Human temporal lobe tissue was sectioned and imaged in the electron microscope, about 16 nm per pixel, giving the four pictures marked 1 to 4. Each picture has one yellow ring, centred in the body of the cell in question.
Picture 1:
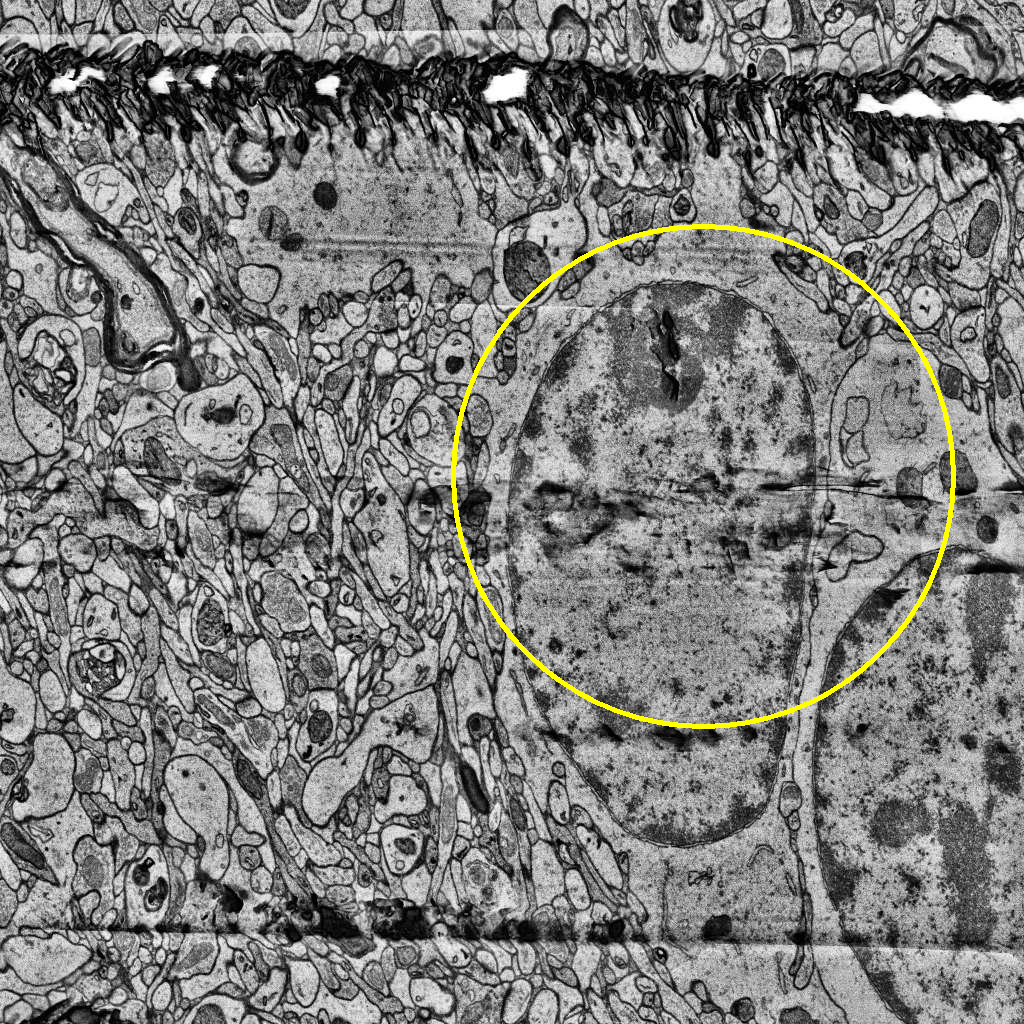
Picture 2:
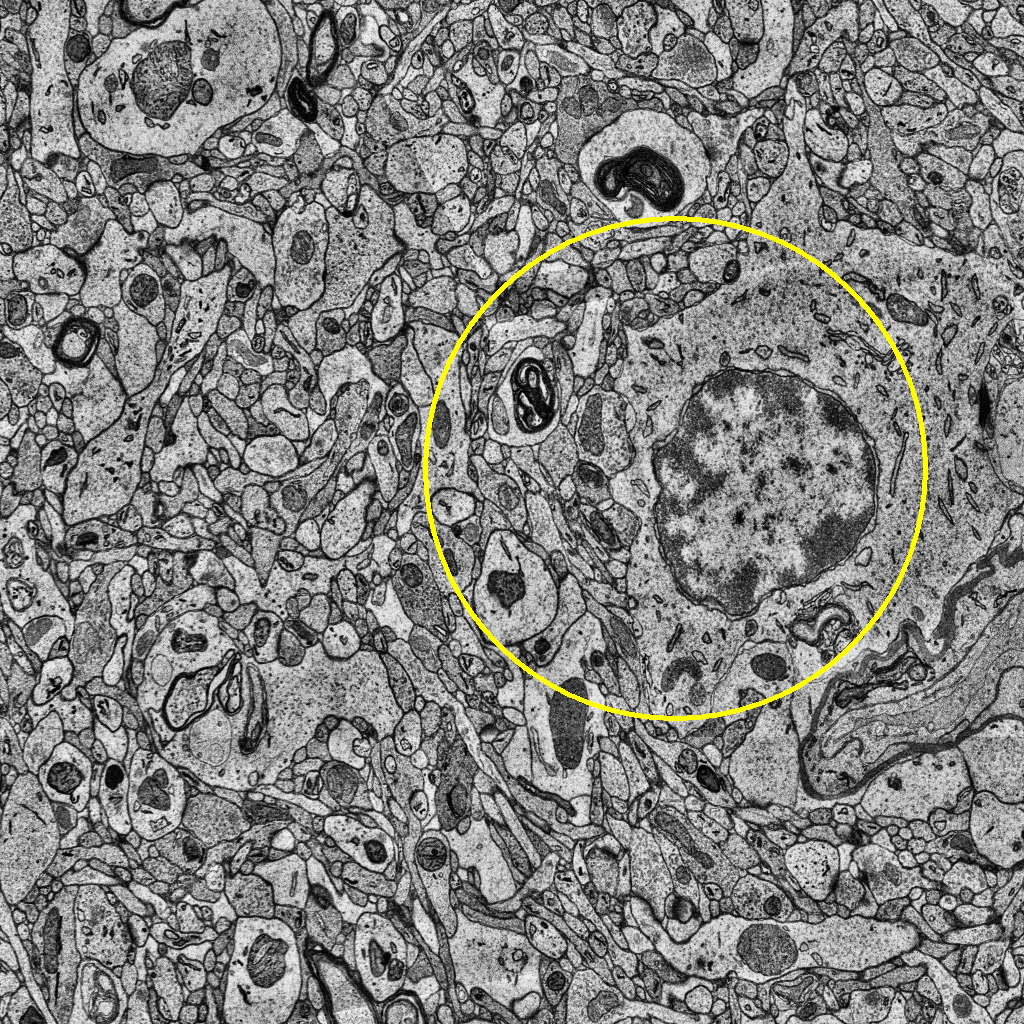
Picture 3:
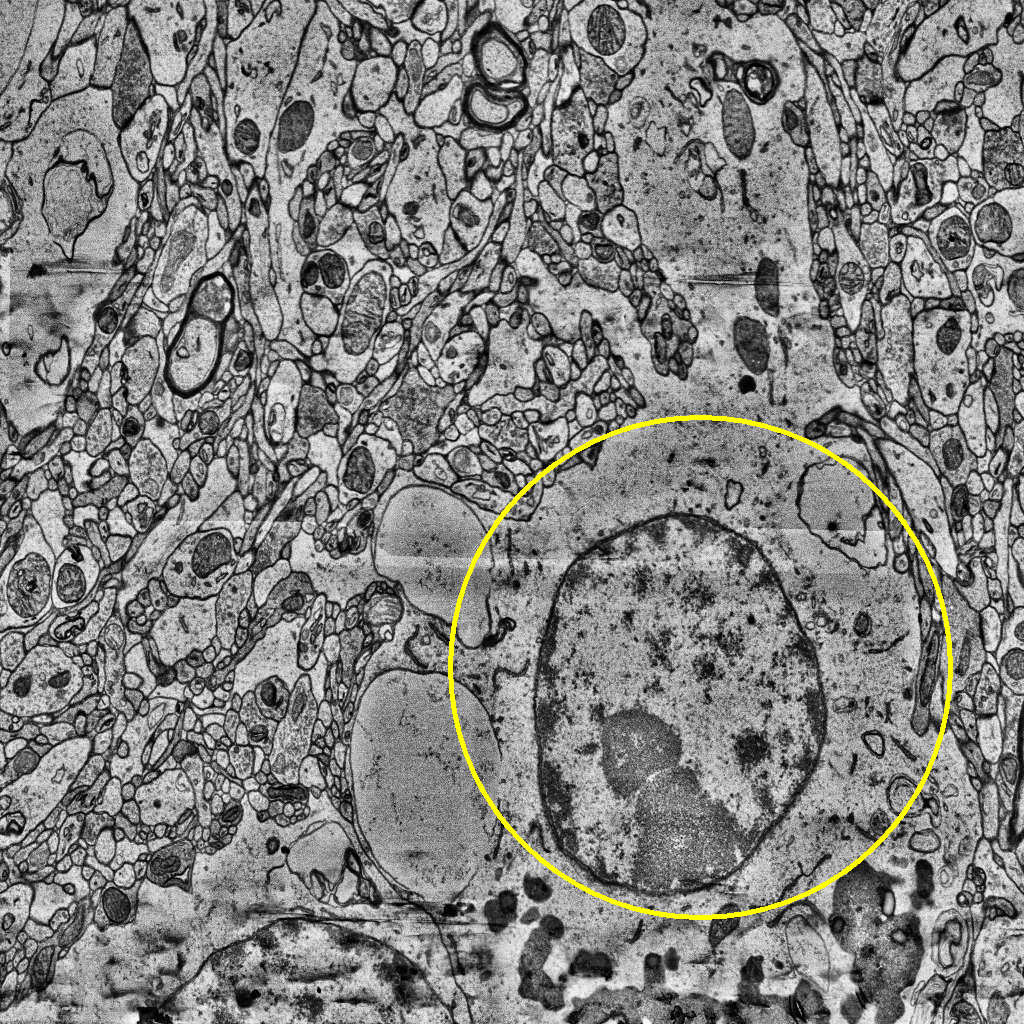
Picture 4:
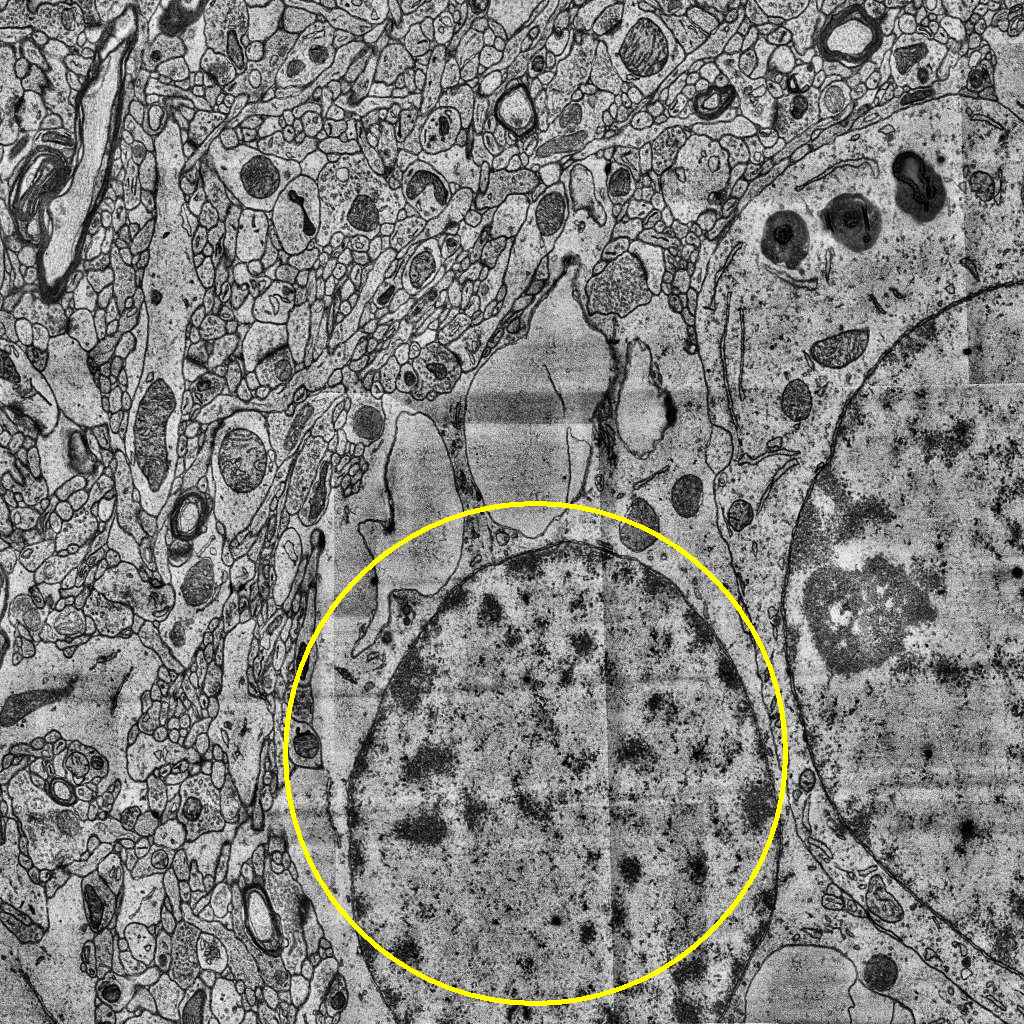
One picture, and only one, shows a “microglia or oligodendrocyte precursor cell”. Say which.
It is picture 2 that shows the “microglia or oligodendrocyte precursor cell”.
